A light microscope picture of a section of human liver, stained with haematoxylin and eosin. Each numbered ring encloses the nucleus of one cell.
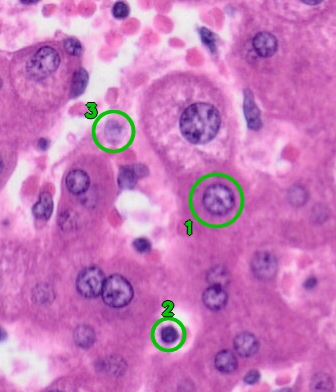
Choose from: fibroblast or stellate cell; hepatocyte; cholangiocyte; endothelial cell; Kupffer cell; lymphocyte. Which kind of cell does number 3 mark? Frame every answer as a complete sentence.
The cell numbered 3 has been identified as a Kupffer cell.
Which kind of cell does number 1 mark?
Among the marked nuclei, number 1 belongs to a hepatocyte.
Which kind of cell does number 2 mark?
The numbered cell 2 in this field is a lymphocyte.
